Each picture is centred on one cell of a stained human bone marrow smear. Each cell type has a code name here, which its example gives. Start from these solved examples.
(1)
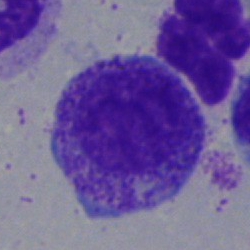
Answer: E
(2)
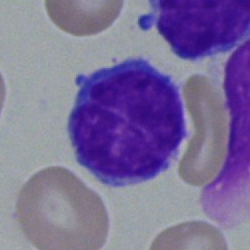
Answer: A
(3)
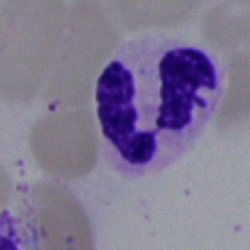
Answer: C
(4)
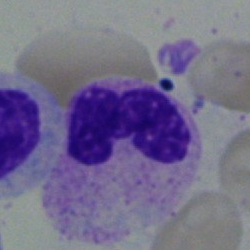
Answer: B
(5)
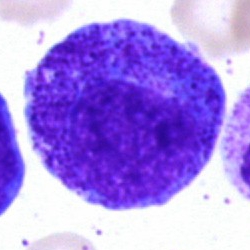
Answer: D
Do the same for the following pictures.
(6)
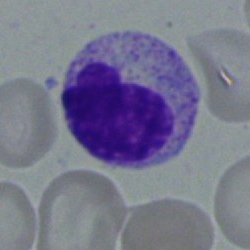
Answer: E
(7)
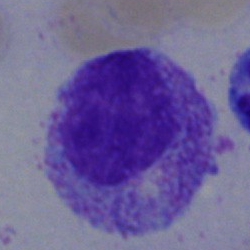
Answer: E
